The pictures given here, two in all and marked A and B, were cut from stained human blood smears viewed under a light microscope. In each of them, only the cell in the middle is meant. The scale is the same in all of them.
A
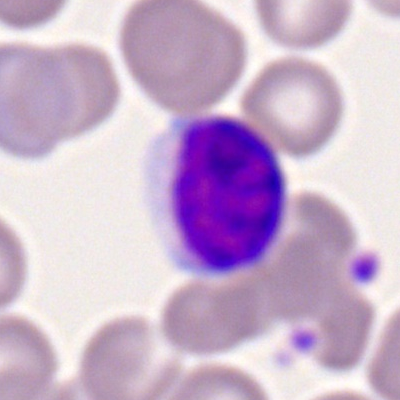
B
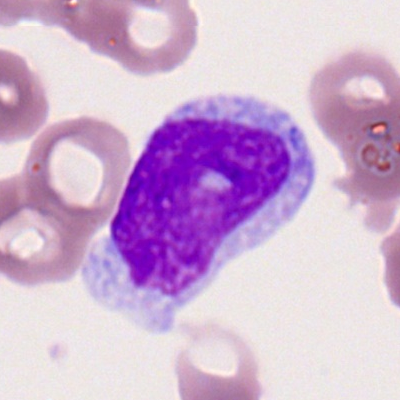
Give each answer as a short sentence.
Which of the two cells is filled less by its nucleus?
In picture B the nucleus takes up the smaller part of its cell.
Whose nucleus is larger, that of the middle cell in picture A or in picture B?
Picture B shows the larger nucleus; it covers about 1.5 times the area of the nucleus in picture A.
